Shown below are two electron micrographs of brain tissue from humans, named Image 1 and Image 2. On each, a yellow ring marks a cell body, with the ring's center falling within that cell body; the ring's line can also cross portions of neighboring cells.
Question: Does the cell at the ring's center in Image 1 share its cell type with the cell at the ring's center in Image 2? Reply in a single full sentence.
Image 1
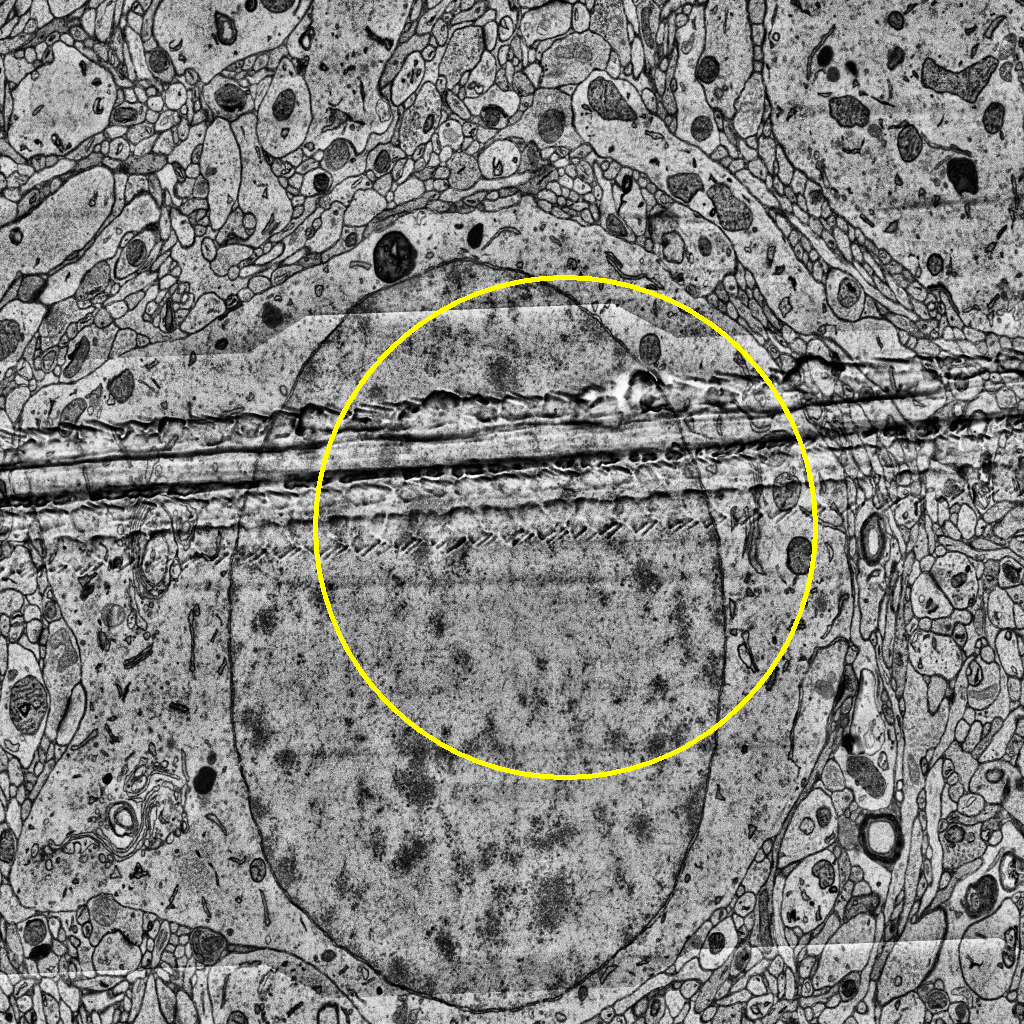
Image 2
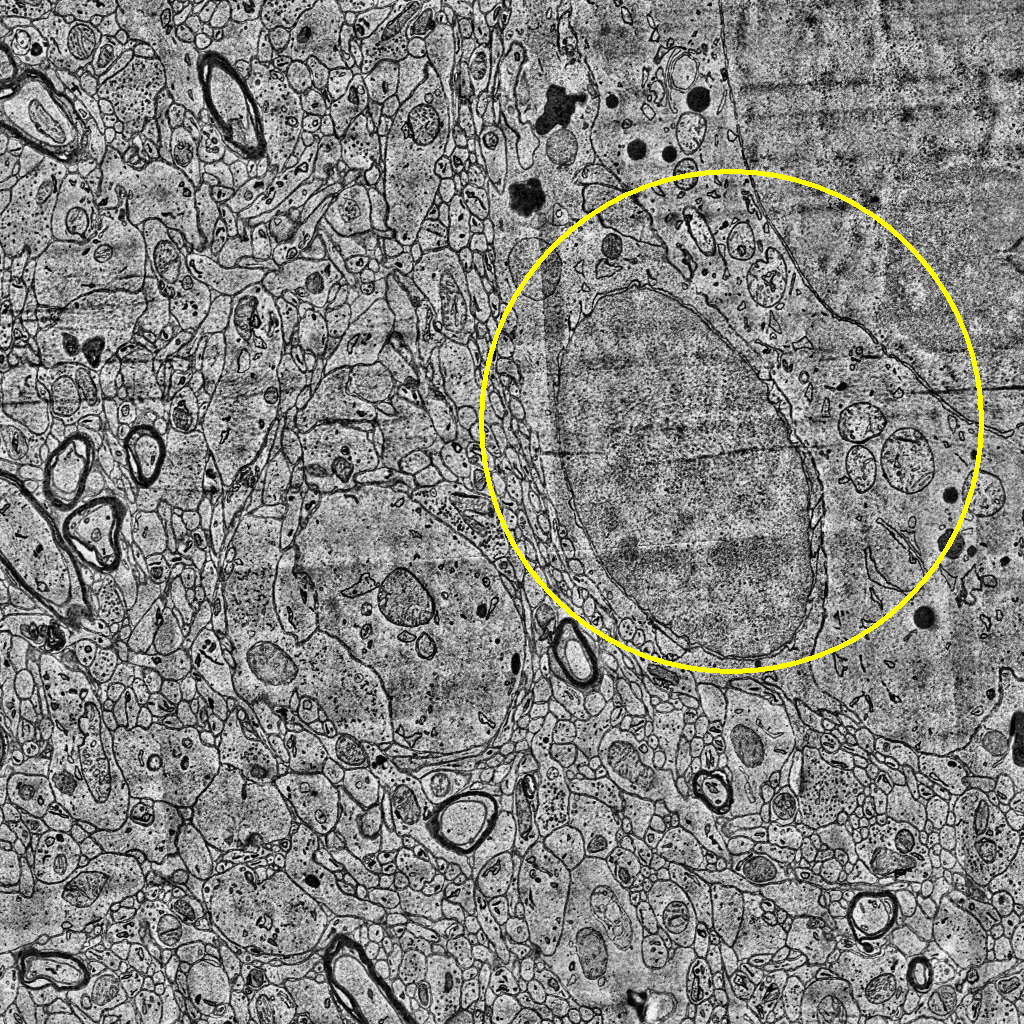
No, the two cells at the ring centers, in Image 1 and Image 2, are of two cell types.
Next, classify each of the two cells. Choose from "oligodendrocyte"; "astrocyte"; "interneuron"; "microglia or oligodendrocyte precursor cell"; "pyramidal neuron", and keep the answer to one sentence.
In the first picture it is a pyramidal neuron; in the second it is an oligodendrocyte.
